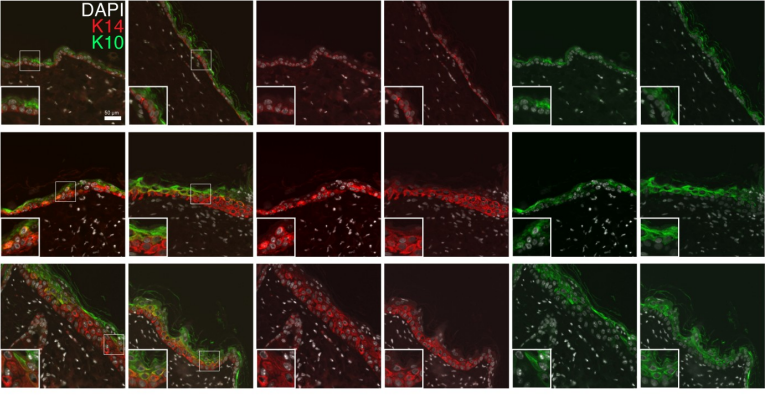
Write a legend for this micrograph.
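The surface layer of the skin shows red staining in its deeper cell layers and green staining in the layers above, with white nuclei scattered through both and through the looser tissue beneath. In some images the red zone is several cells thick, in others only a thin band under the green. This is the epidermis, with its layers of differentiating cells stacked over the dermis.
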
